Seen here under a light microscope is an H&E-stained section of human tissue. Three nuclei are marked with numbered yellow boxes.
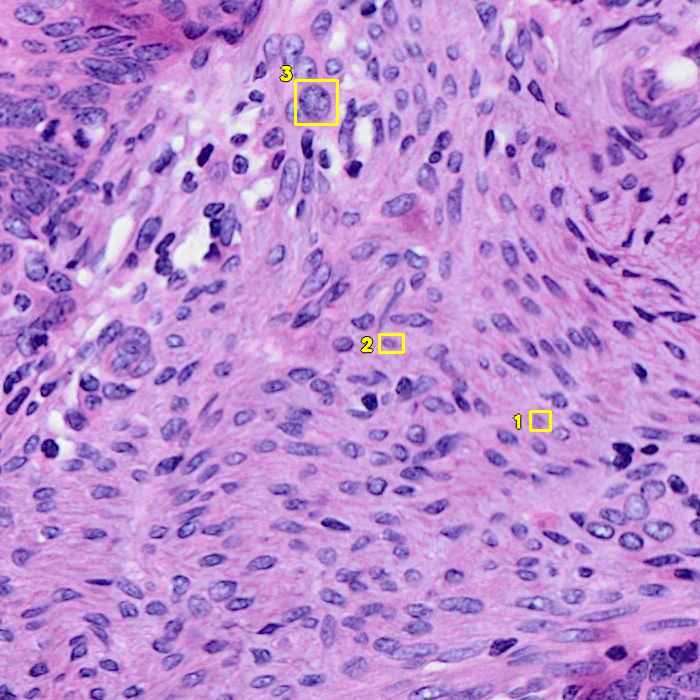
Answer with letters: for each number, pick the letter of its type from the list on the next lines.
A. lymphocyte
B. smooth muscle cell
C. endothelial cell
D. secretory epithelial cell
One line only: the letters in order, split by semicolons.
B; B; C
